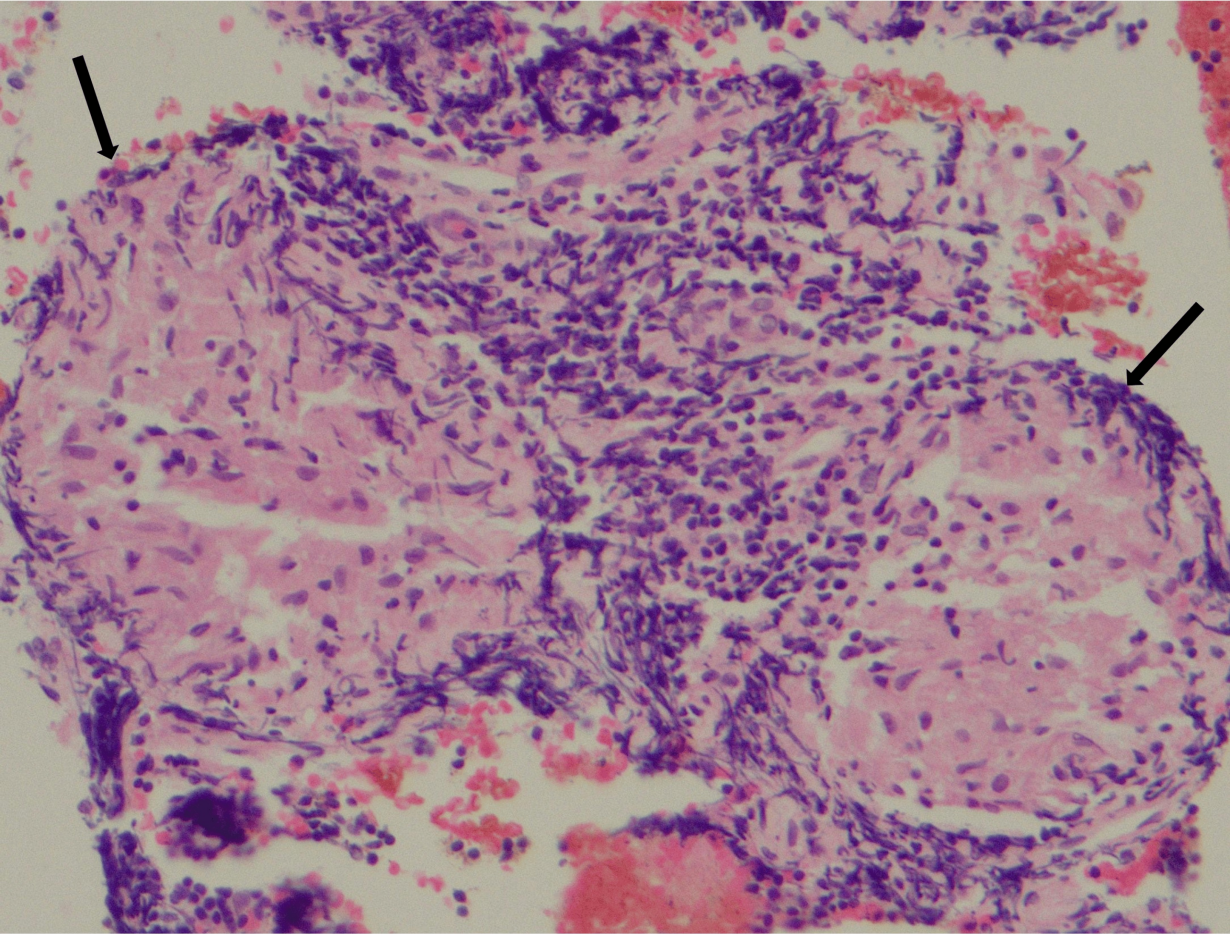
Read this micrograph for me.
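Two adjacent, rounded, well-formed epithelioid granulomas fill most of the field. Each consists of closely packed cells with abundant pale pink cytoplasm and oval to elongated, pale, vesicular nuclei, giving a syncytial look. No necrosis is seen in their centres. A thin rim of small lymphocytes with dark round nuclei encircles each granuloma, and a denser band of lymphocytes and spindle-shaped cells lies between the two. Clusters of red blood cells and fragments of tissue lie around the edges of the biopsy.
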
